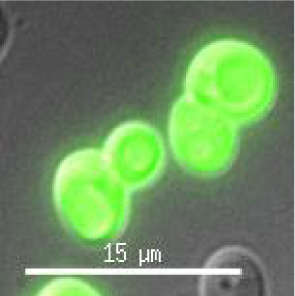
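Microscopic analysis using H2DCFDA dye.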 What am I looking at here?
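Several round to oval cells lie in a loose group, some attached to one another as in budding pairs. Most of these cells are filled evenly with bright green fluorescence across the whole cytoplasm, while a rounded inner compartment in some cells remains somewhat darker. At the edge of the field a few cells show no green at all.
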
